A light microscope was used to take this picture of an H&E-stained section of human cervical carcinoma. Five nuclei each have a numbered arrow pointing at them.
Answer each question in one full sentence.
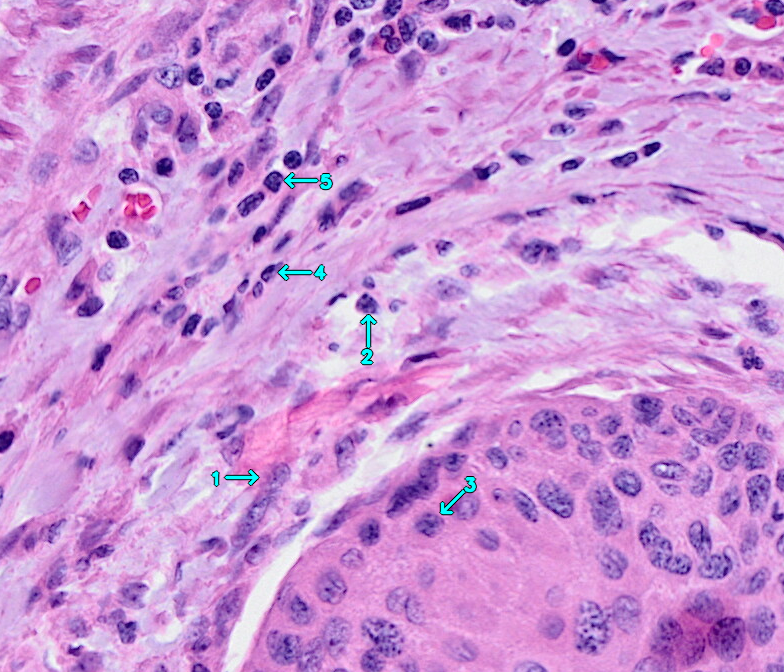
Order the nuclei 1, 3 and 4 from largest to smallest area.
Largest first, the order by area is 1, 3, 4.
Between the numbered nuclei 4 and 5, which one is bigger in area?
It is nucleus 5, which covers about 2 times the area of nucleus 4.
